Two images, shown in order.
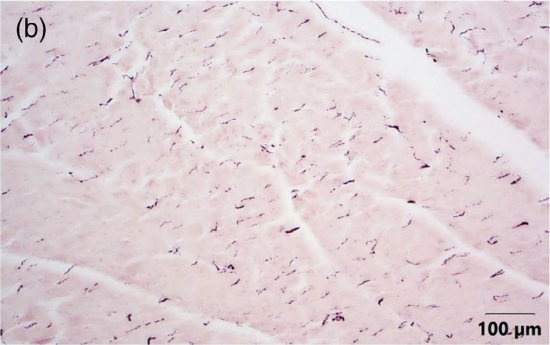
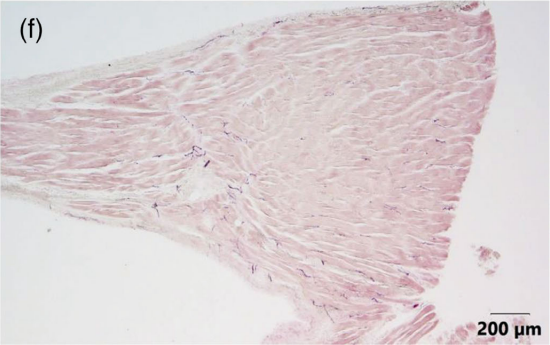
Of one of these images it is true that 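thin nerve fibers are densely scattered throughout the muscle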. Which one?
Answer: the first image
